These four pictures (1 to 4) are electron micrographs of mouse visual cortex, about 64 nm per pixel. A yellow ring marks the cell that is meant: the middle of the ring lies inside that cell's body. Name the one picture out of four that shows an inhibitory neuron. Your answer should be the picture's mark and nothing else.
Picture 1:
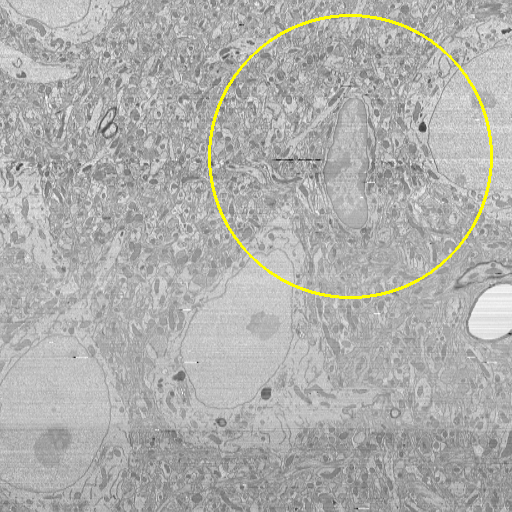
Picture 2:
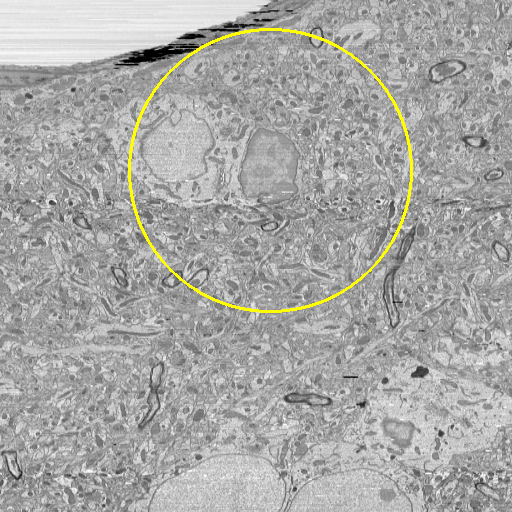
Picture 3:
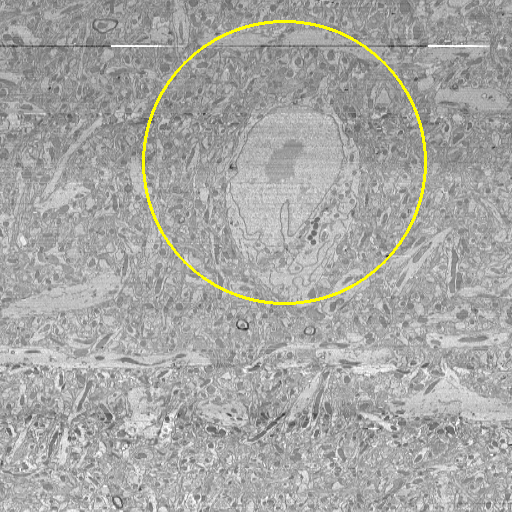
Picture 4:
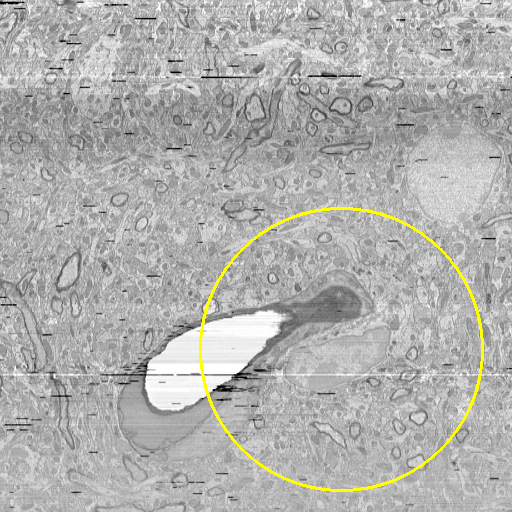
3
